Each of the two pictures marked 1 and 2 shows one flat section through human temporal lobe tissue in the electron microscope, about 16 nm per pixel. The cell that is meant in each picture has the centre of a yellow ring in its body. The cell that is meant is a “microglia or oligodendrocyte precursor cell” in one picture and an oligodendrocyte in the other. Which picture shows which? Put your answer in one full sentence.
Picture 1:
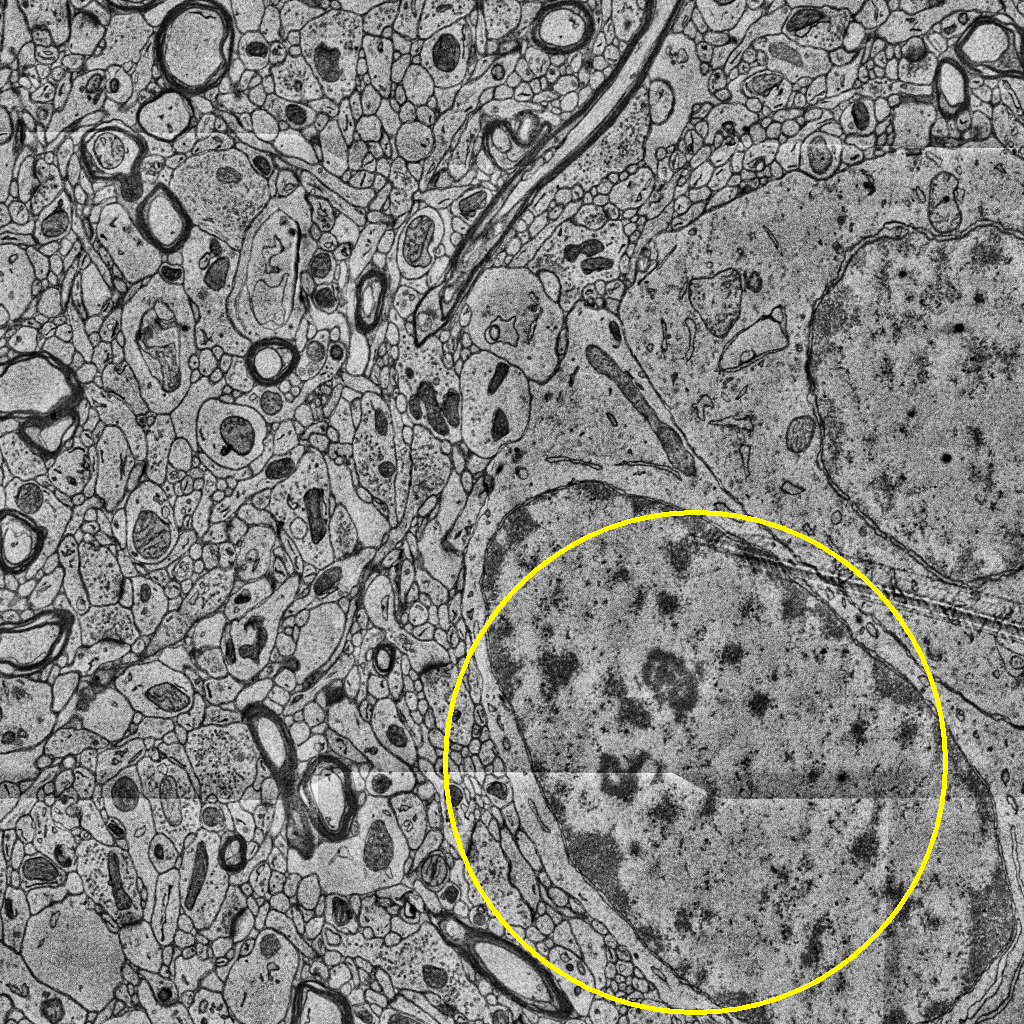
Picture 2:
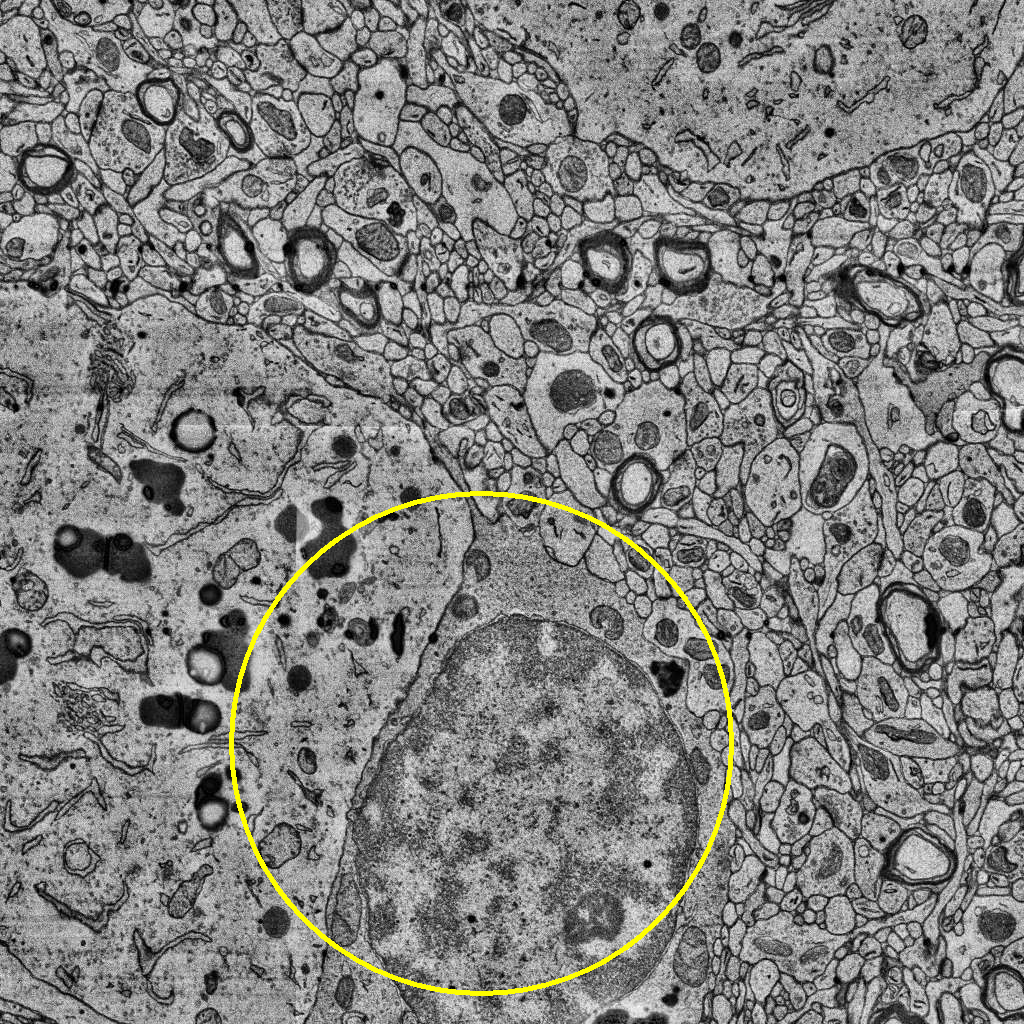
The cell in picture 1 is a “microglia or oligodendrocyte precursor cell”, and the one in picture 2 is an oligodendrocyte.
